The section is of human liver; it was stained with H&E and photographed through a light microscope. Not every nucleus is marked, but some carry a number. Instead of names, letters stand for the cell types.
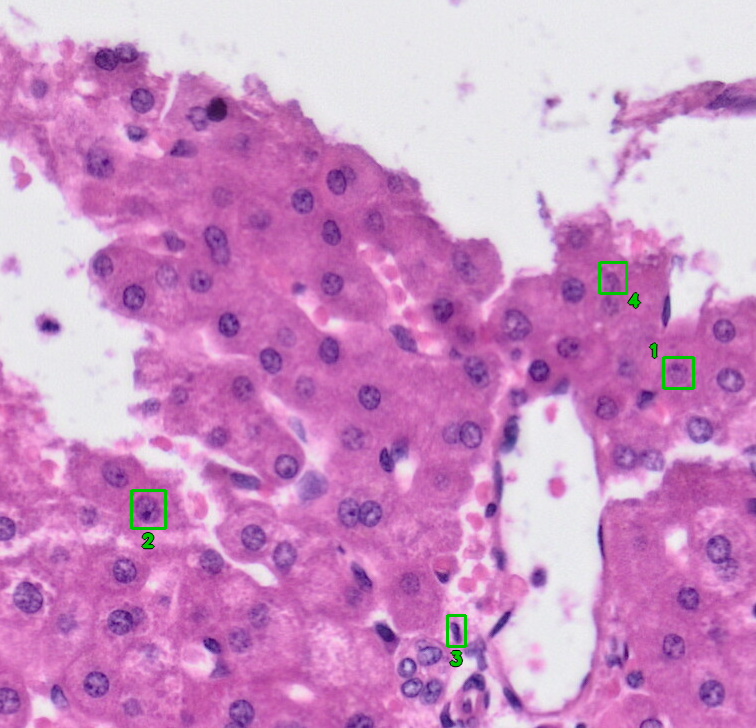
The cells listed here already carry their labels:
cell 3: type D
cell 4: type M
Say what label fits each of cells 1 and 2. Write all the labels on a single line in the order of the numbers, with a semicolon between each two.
type M; type M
